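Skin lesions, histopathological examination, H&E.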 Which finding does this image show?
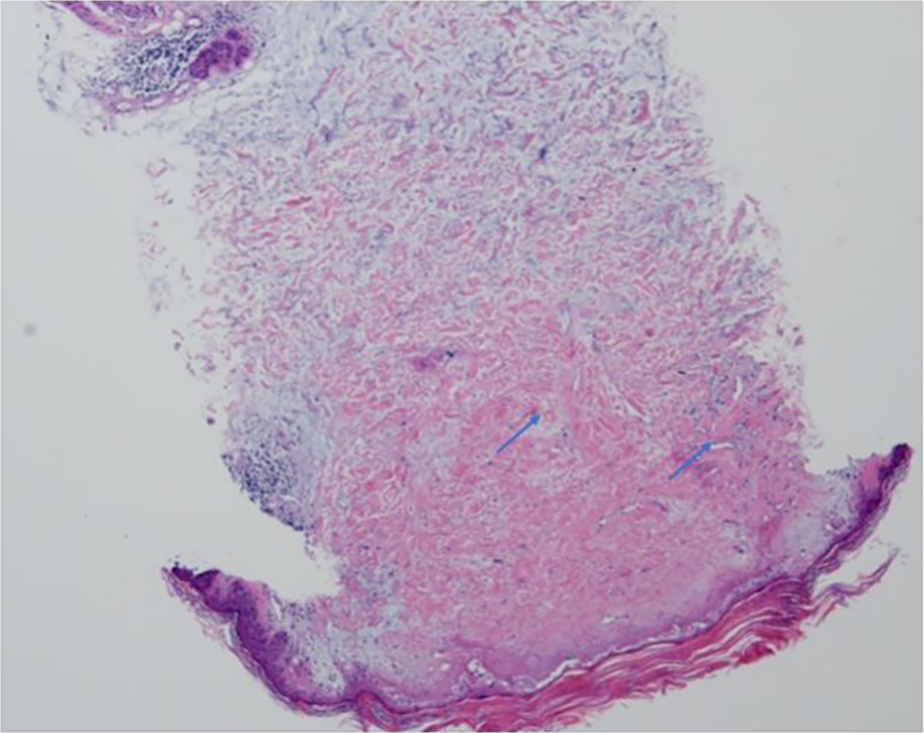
dermis necrosis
